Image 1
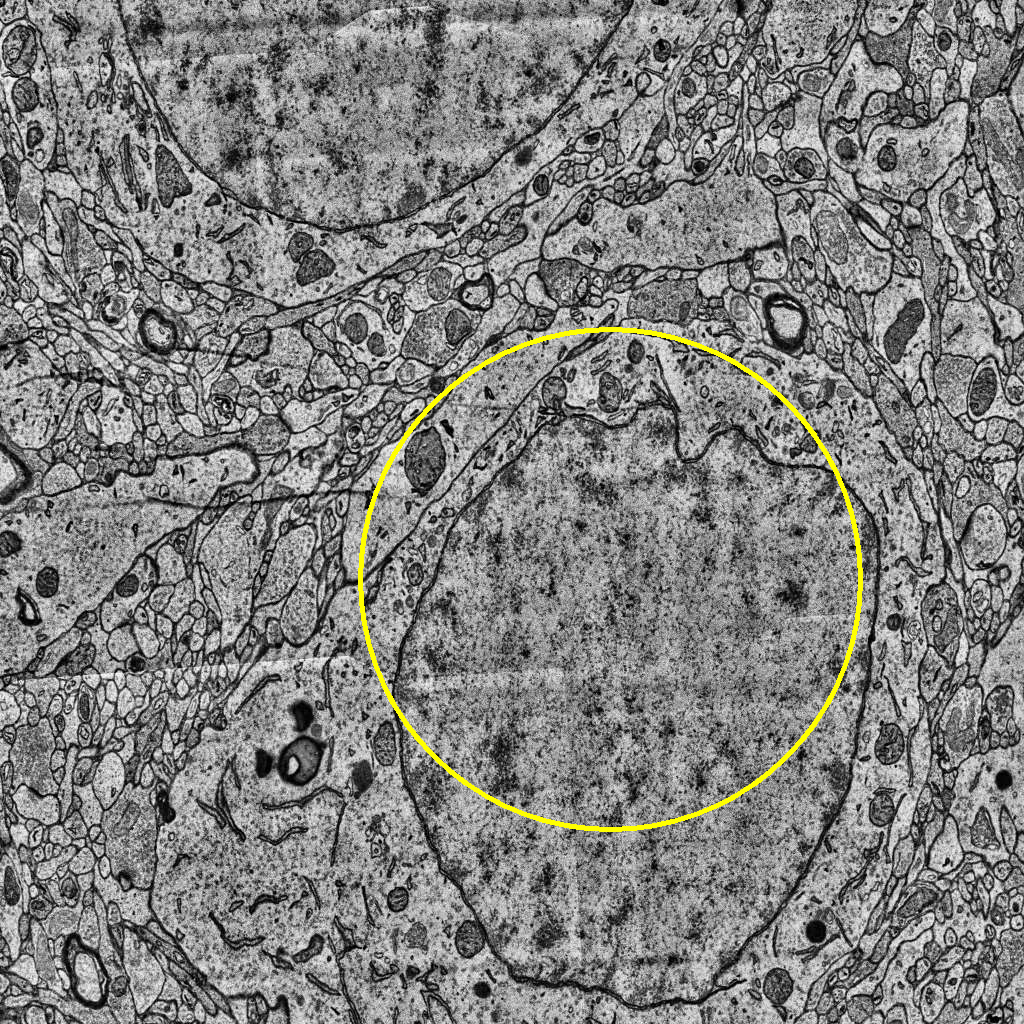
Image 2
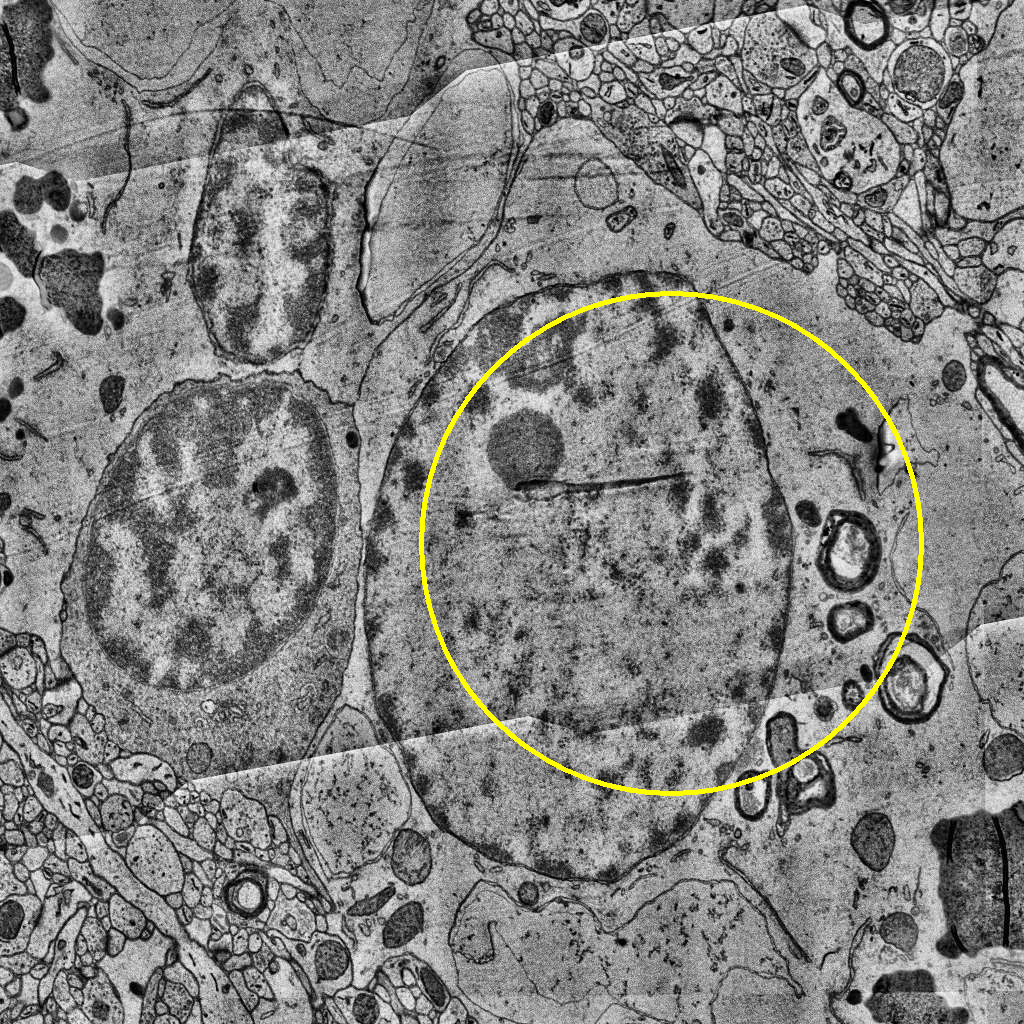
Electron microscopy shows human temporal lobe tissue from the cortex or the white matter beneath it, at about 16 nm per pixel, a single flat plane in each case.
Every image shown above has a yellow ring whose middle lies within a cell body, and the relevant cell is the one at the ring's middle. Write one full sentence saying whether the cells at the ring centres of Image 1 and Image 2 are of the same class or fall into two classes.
The cell at the ring's centre in Image 1 and its counterpart in Image 2 fall into two classes.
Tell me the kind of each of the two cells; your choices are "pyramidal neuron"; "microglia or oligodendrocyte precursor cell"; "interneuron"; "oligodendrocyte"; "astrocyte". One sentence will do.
Here the first cell is a pyramidal neuron and the second cell is an astrocyte.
